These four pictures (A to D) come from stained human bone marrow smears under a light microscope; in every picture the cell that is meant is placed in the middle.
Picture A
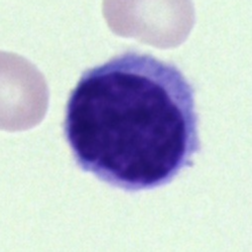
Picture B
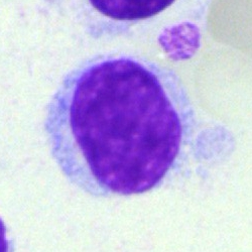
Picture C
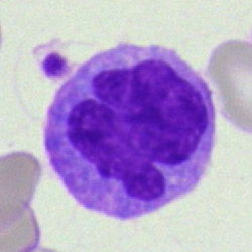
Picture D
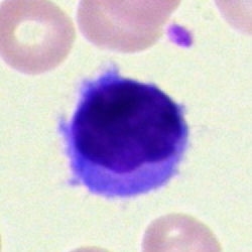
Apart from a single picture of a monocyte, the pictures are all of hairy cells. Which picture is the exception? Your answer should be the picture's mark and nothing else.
C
